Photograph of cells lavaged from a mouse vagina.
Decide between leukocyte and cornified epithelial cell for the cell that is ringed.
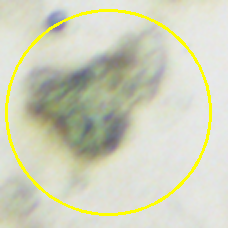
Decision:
I take the ringed cell for a cornified epithelial cell.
